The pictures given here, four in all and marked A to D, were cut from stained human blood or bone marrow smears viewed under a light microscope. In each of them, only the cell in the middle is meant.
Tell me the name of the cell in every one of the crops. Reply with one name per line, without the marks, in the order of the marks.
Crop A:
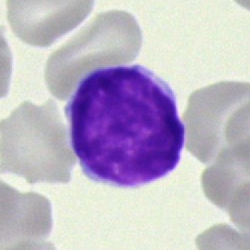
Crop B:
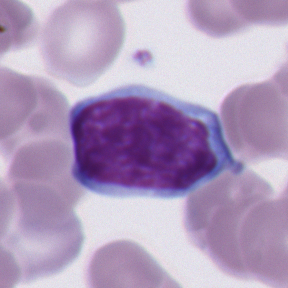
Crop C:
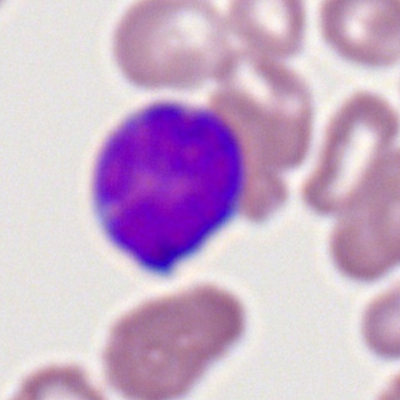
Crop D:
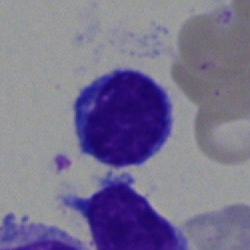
lymphocyte
lymphocyte
blast
lymphocyte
